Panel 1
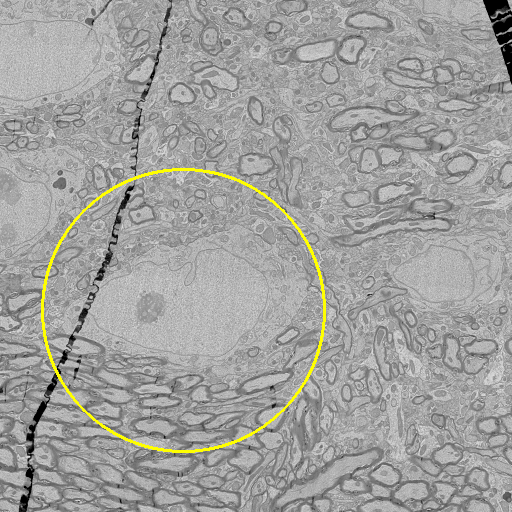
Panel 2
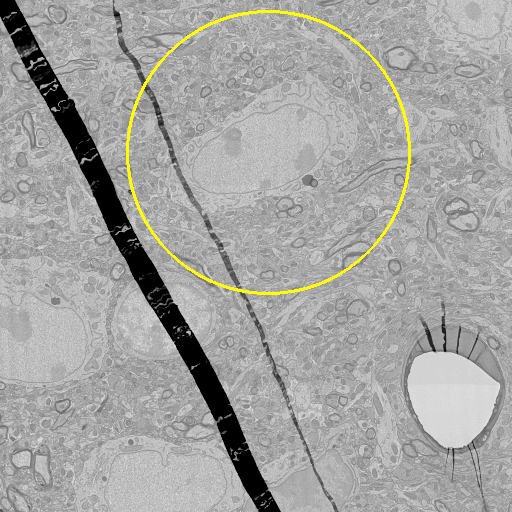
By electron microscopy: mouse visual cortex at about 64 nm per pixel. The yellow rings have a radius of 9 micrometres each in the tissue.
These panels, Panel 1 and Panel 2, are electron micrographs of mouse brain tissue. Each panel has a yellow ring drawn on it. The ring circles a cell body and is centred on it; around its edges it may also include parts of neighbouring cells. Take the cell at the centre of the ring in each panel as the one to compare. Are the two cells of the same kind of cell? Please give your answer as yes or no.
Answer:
yes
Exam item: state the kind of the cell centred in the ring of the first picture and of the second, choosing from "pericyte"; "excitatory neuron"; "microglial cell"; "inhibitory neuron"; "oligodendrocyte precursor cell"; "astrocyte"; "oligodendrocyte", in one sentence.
Each of the two pictures has an excitatory neuron at the ring centre.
